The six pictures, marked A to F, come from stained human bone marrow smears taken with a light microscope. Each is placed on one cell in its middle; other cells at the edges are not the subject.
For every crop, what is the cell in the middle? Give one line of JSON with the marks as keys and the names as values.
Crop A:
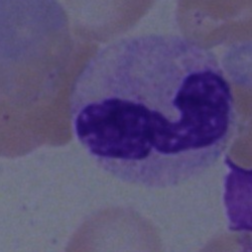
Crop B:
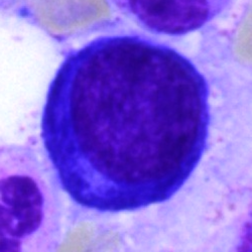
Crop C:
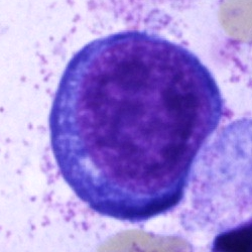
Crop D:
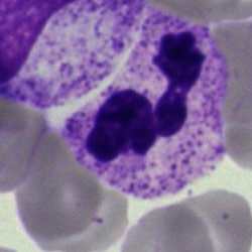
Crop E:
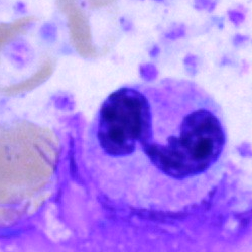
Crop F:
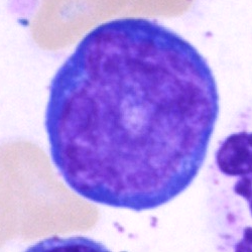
{"A": "neutrophil", "B": "proerythroblast", "C": "proerythroblast", "D": "neutrophil", "E": "neutrophil", "F": "proerythroblast"}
